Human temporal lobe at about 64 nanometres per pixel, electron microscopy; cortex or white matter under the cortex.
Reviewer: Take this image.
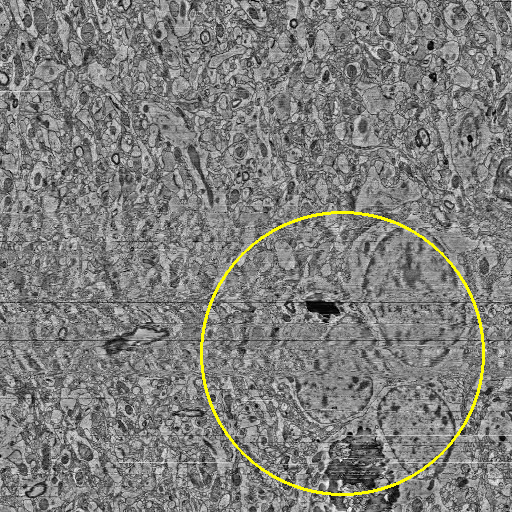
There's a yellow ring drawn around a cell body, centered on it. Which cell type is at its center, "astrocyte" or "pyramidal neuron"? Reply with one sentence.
At the center of the yellow ring is an astrocyte.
